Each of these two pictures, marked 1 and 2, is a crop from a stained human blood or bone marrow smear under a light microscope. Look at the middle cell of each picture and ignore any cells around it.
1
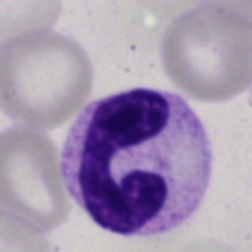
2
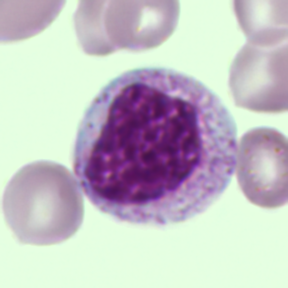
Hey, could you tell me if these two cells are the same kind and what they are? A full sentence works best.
No, crop 1 presents a band neutrophil, whereas crop 2 presents a metamyelocyte.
